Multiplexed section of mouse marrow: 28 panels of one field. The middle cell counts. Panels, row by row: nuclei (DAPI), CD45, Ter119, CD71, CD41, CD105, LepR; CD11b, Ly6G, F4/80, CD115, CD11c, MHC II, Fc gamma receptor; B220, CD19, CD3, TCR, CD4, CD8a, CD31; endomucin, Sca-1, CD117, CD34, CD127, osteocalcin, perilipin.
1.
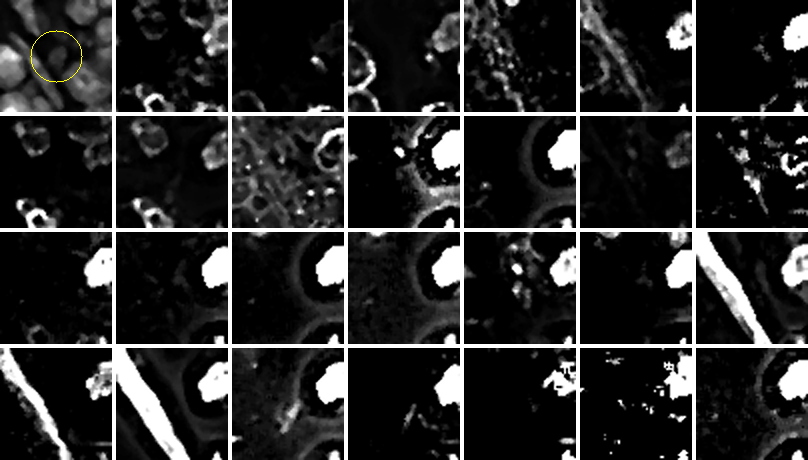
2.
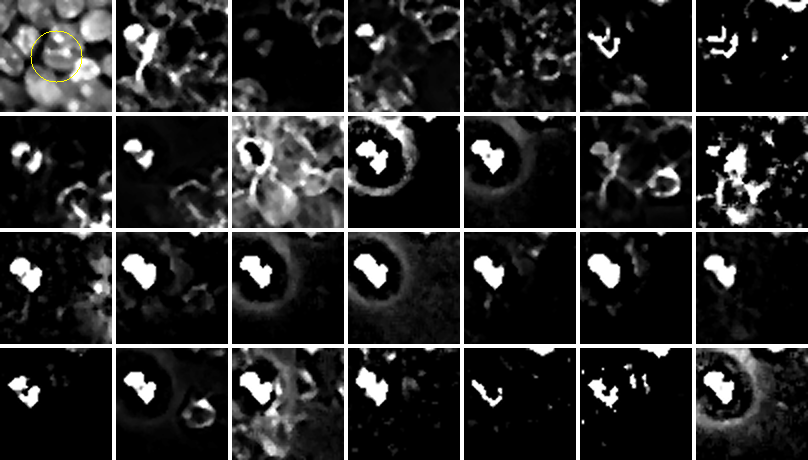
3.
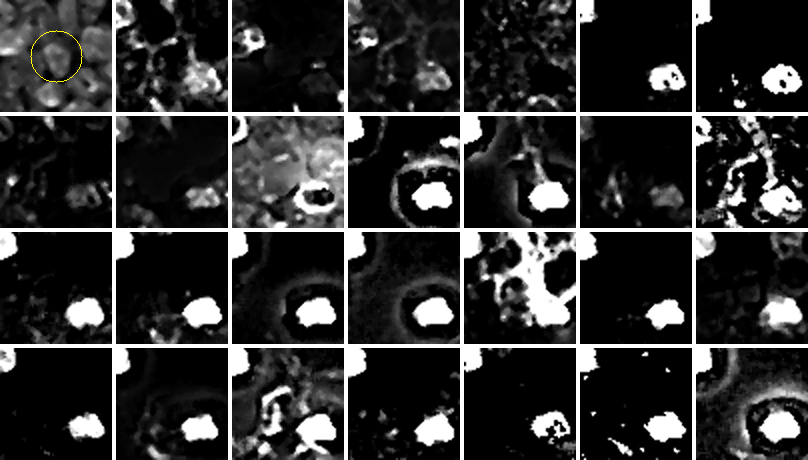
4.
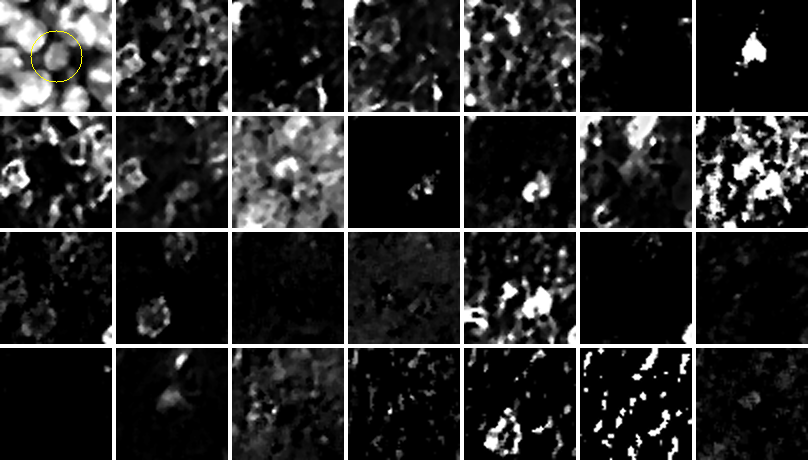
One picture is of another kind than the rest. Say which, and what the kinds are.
Picture 4 shows a LepR-positive perivascular cell; the rest show granulocyte-monocyte progenitors.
